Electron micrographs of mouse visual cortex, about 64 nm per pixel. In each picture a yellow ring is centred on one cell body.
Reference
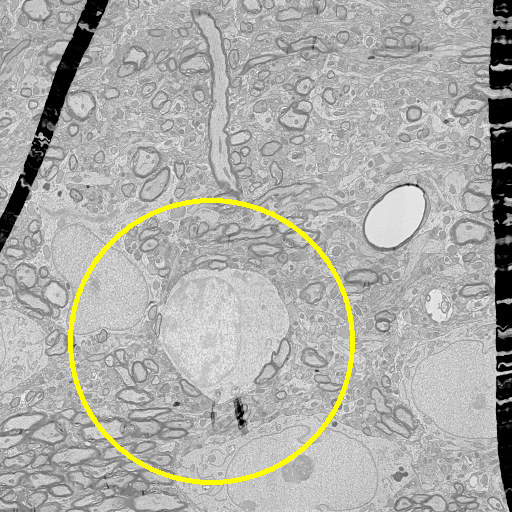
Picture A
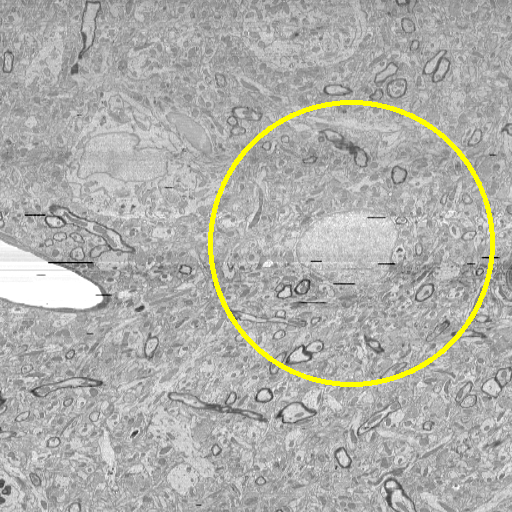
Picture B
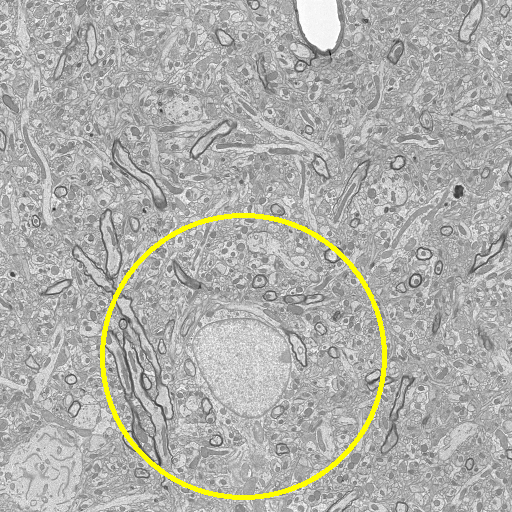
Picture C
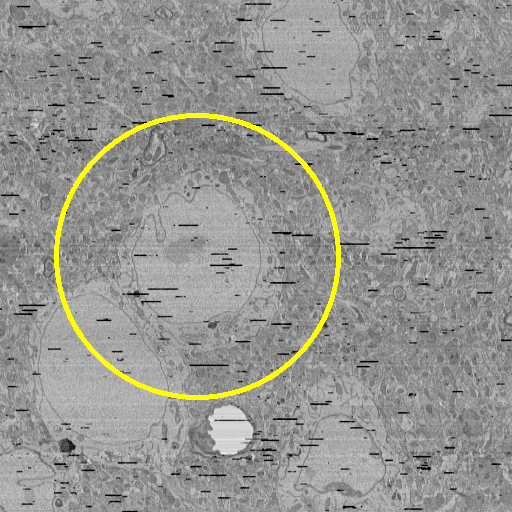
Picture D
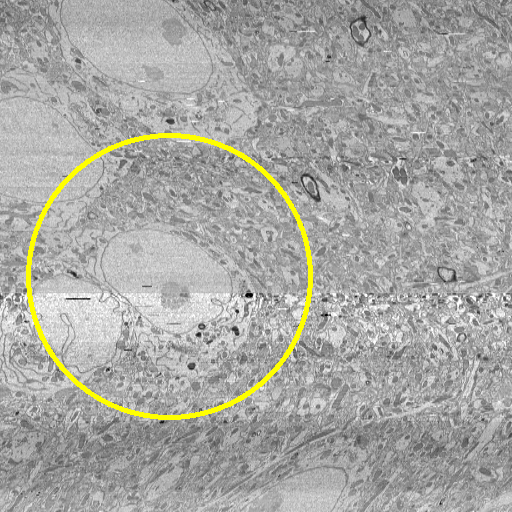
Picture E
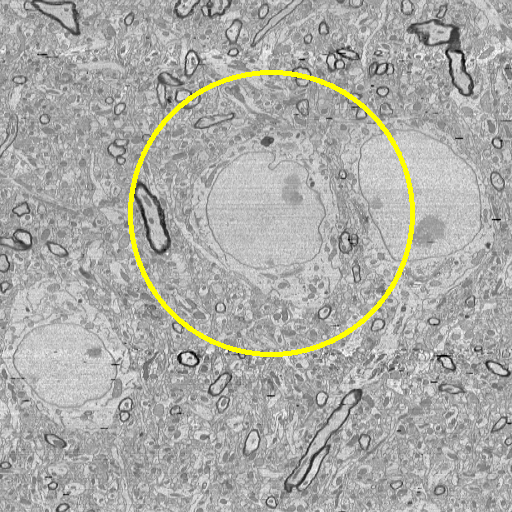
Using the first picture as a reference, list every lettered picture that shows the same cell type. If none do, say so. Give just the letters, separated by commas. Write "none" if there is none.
A, B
